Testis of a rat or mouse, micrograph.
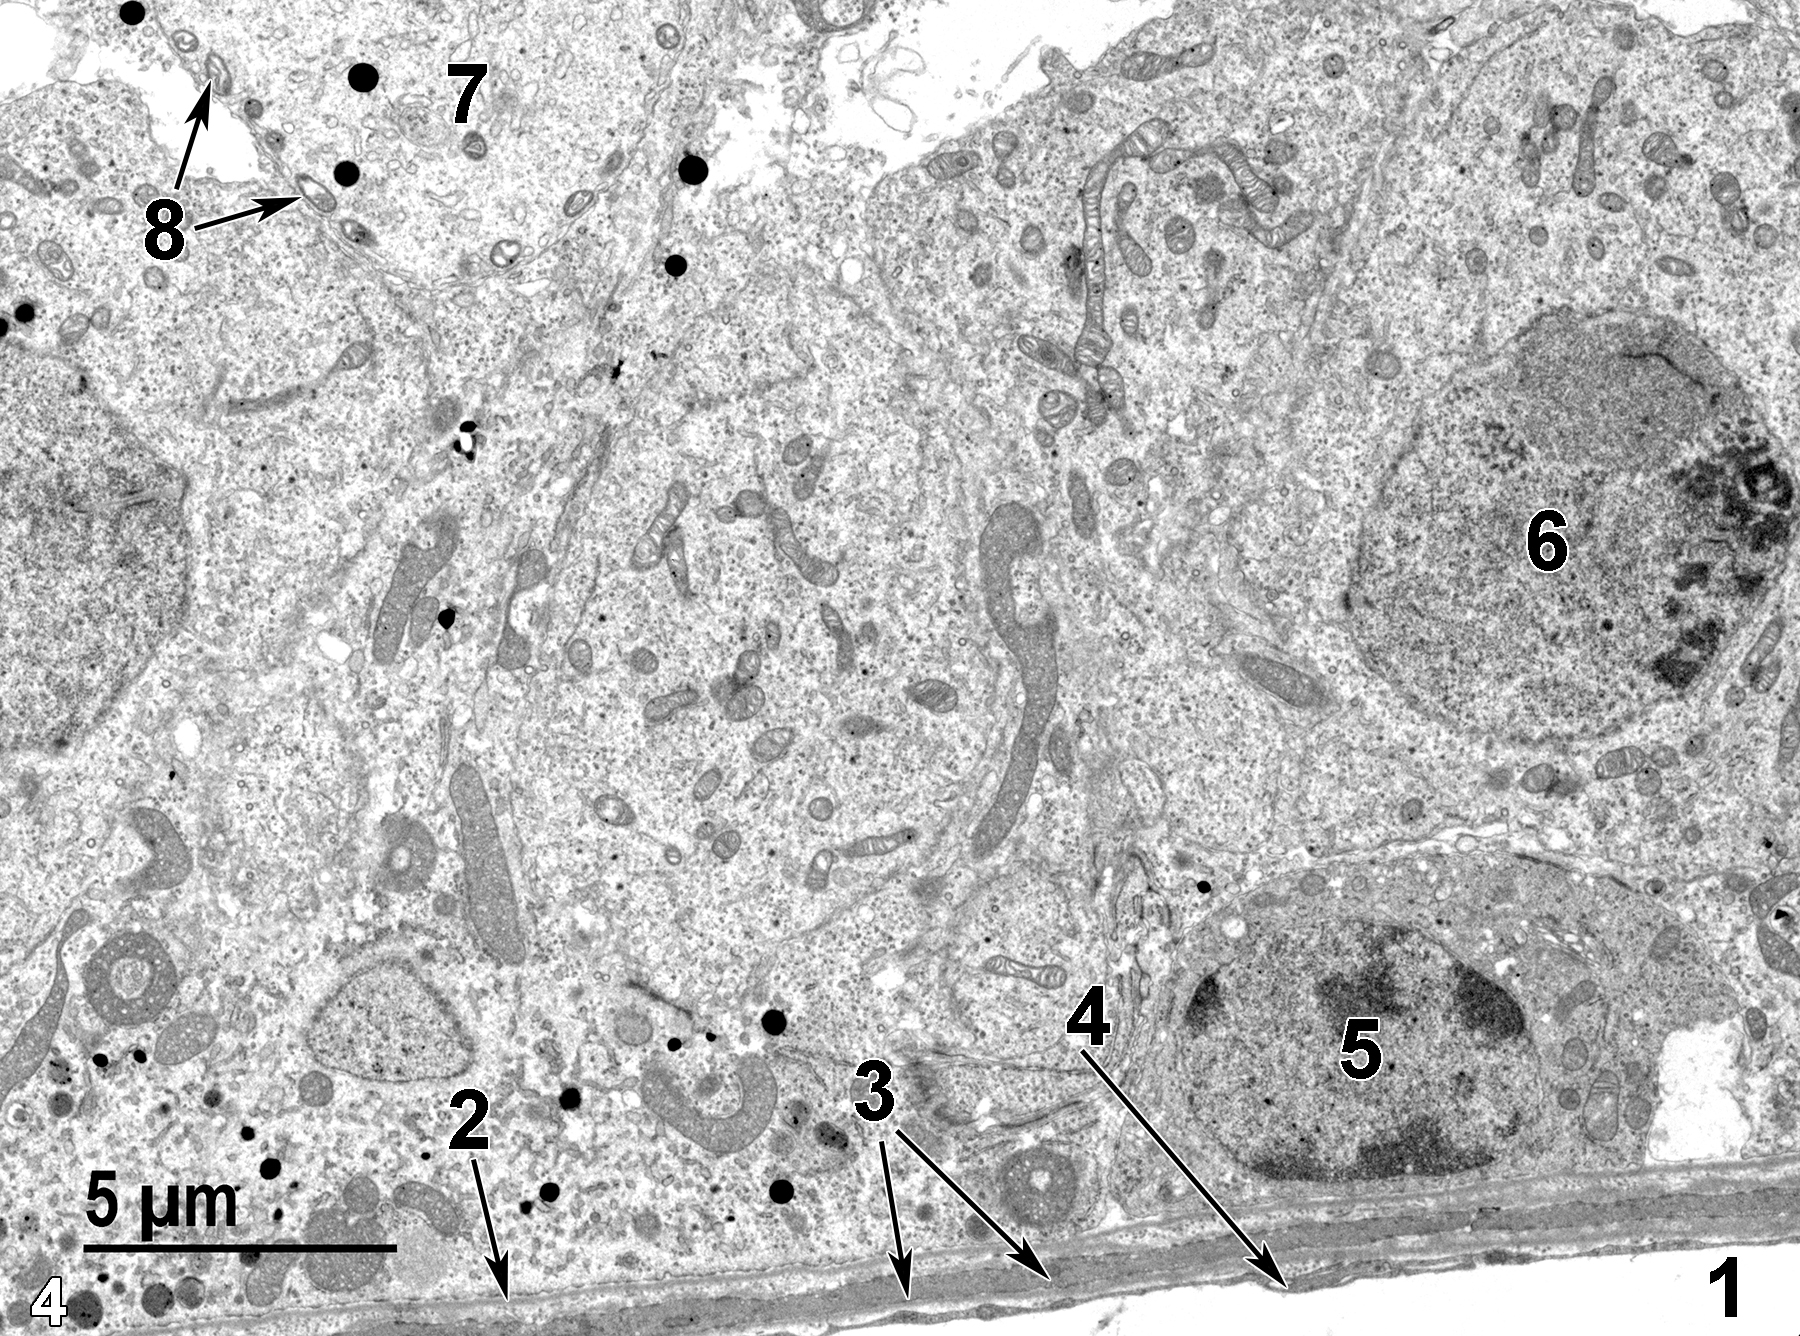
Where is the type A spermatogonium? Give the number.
Number 5.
